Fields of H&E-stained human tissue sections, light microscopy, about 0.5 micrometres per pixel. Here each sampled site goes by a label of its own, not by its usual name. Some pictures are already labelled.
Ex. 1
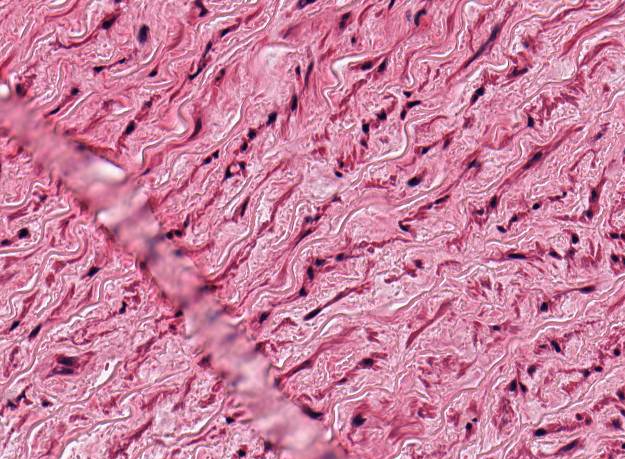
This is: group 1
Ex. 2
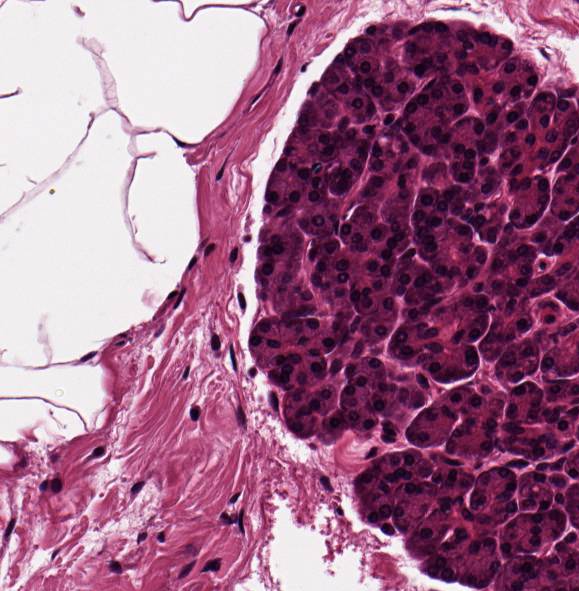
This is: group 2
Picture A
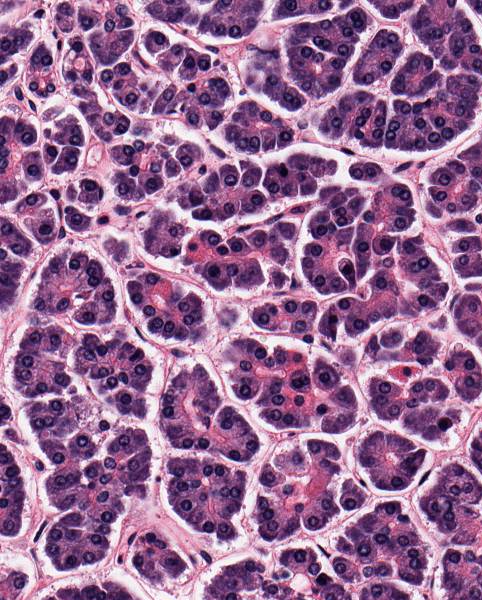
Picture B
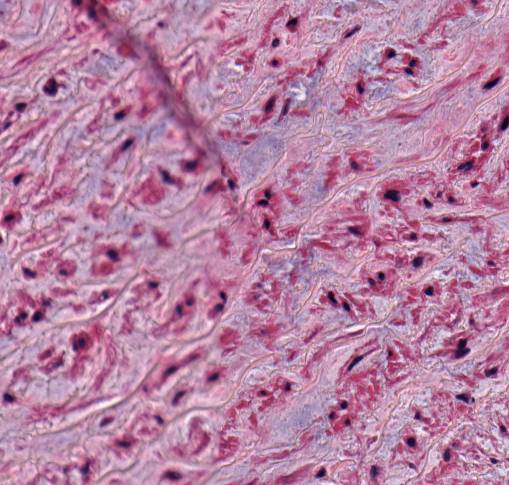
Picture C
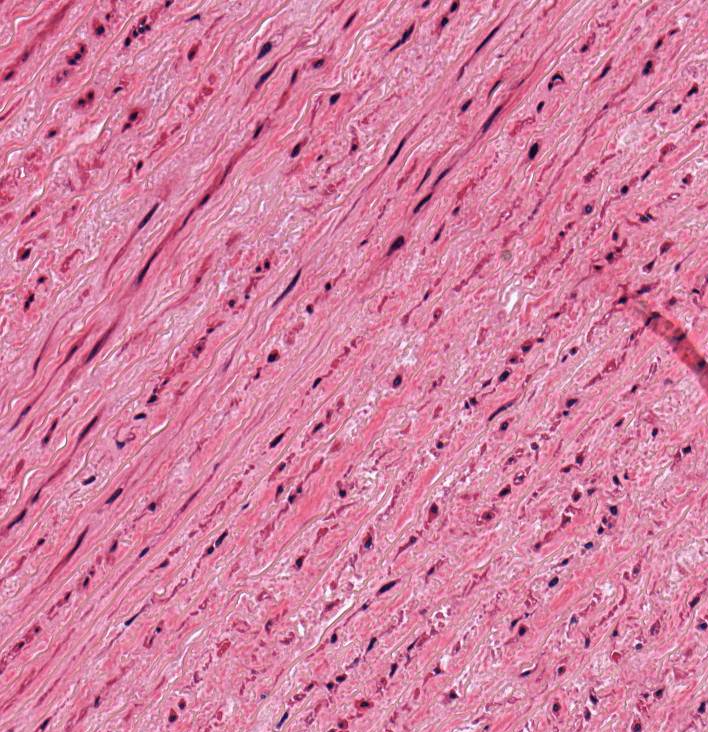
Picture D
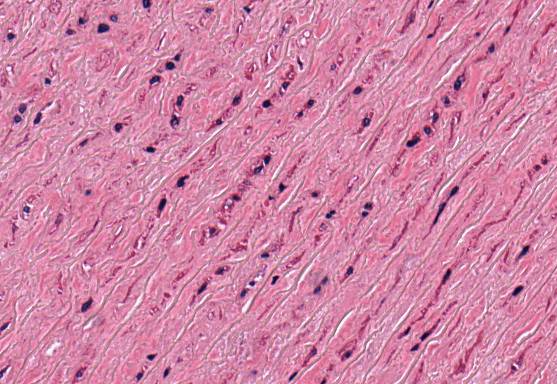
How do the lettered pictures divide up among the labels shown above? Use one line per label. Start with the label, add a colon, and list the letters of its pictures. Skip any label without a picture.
group 1: B, C, D
group 2: A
